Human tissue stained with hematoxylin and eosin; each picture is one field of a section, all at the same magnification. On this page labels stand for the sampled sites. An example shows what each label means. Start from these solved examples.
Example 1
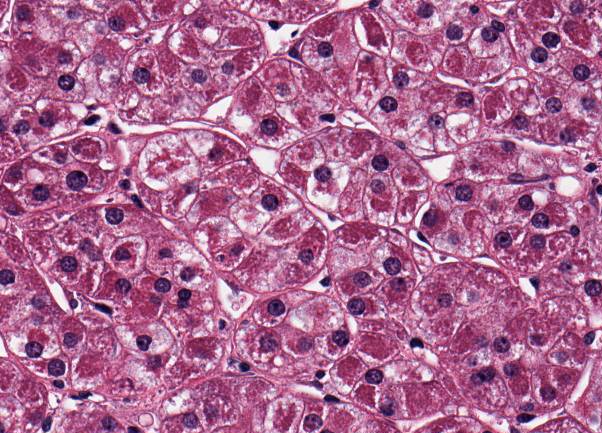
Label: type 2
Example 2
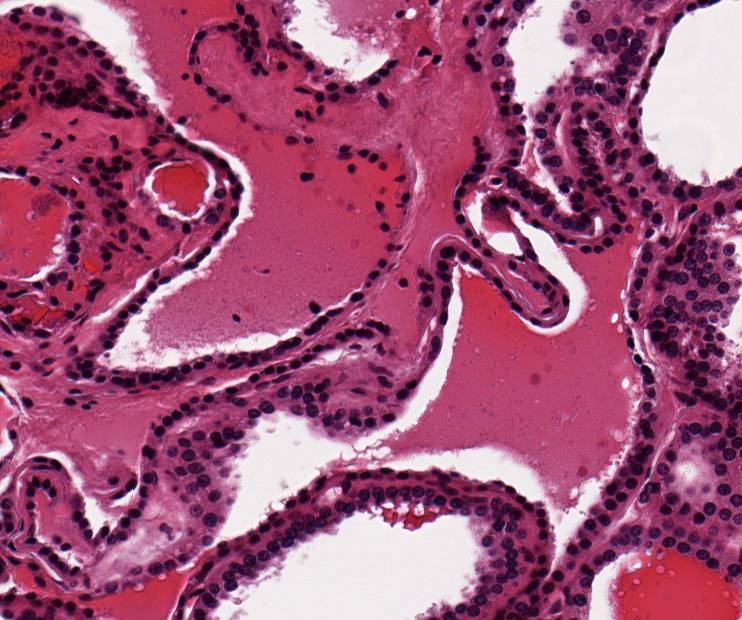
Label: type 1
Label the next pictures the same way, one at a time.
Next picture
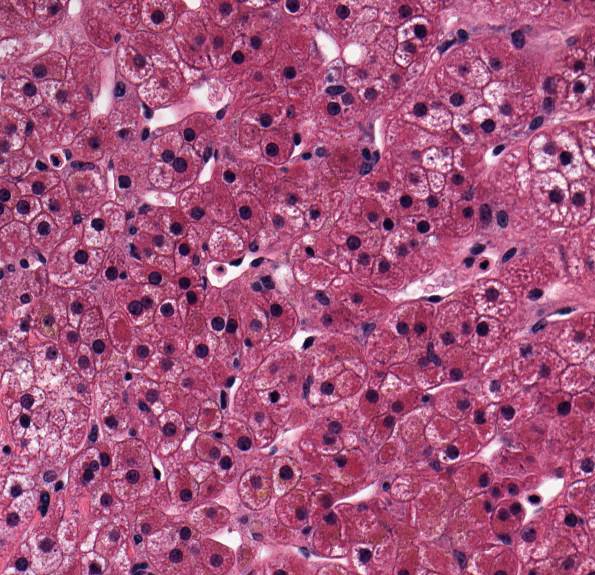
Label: type 2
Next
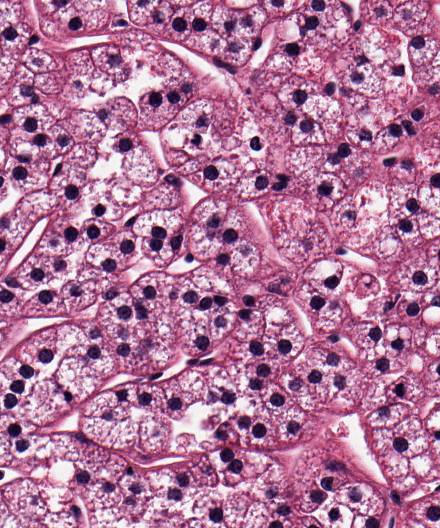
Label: type 2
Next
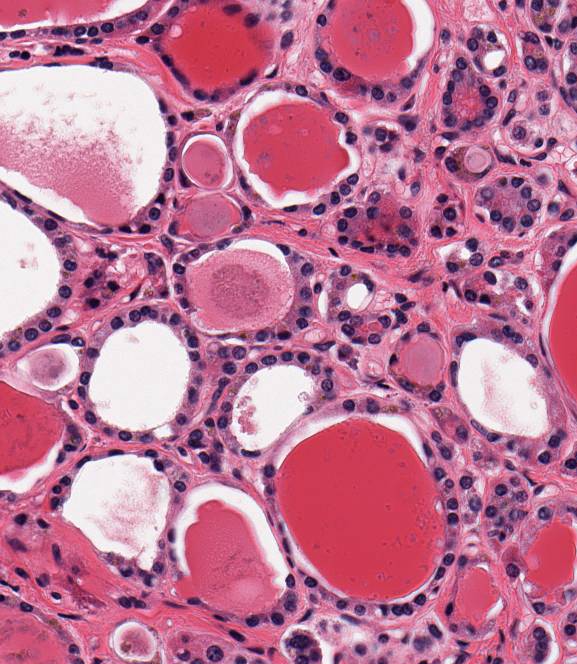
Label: type 1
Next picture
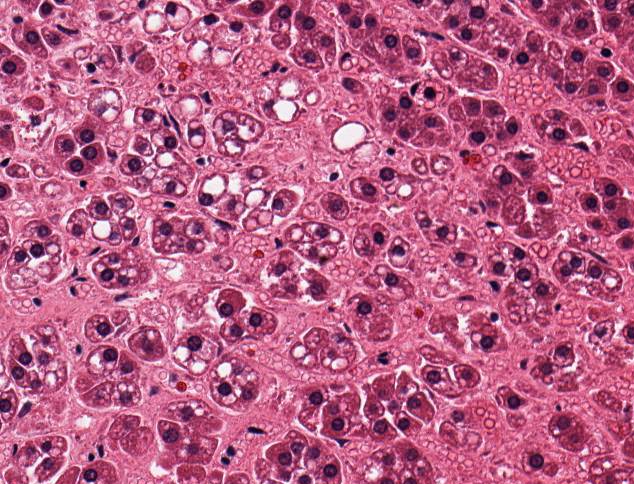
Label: type 2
